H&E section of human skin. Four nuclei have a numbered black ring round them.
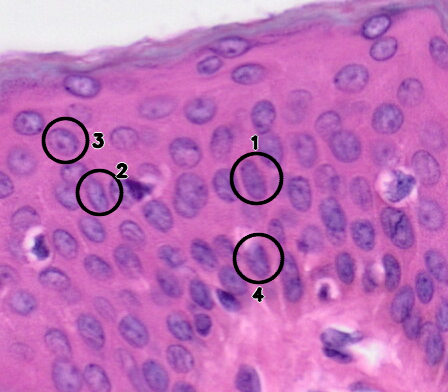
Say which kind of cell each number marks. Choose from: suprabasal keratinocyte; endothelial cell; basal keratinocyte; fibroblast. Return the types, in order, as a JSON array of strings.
["suprabasal keratinocyte", "suprabasal keratinocyte", "suprabasal keratinocyte", "basal keratinocyte"]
